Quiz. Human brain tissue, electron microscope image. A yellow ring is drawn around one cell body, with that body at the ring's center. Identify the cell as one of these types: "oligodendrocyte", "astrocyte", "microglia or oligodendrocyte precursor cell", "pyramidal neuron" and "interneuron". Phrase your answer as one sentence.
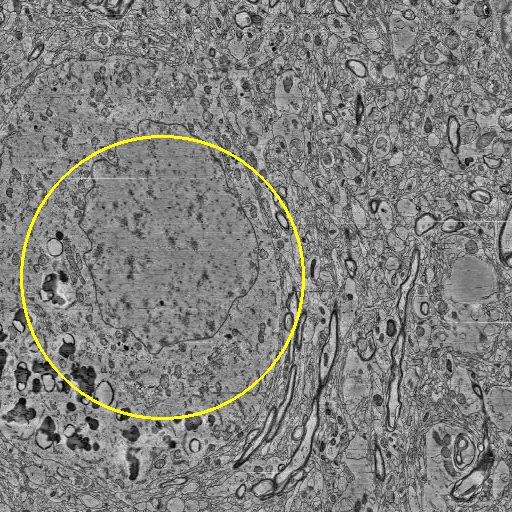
At the center of the ring sits a pyramidal neuron.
